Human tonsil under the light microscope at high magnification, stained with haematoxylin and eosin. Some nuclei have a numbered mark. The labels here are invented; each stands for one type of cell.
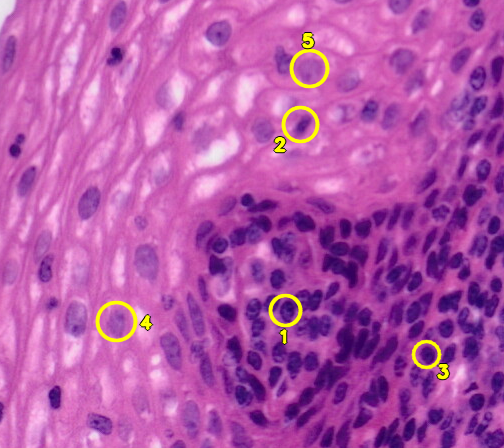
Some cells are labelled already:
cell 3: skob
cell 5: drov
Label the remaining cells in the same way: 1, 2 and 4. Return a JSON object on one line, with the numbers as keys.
{"1": "skob", "2": "drov", "4": "drov"}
